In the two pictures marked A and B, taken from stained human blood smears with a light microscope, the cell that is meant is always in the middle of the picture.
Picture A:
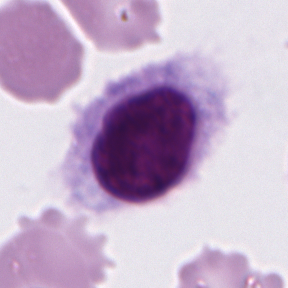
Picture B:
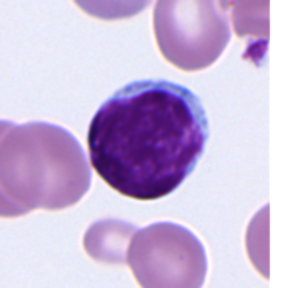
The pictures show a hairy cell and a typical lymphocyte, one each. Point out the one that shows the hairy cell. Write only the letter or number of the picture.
A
